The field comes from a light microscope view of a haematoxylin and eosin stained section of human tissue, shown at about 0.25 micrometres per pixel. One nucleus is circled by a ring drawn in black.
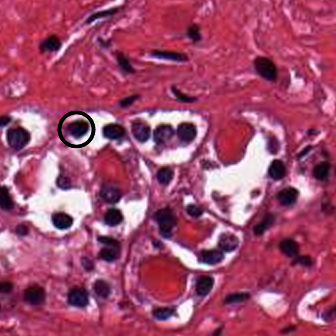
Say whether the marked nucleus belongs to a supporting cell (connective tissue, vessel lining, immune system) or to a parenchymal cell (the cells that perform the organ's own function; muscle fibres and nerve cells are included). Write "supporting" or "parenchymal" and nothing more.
parenchymal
